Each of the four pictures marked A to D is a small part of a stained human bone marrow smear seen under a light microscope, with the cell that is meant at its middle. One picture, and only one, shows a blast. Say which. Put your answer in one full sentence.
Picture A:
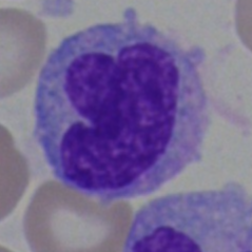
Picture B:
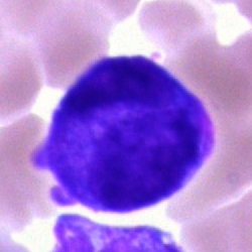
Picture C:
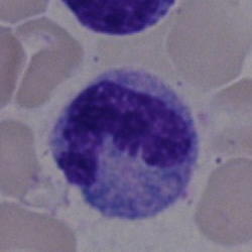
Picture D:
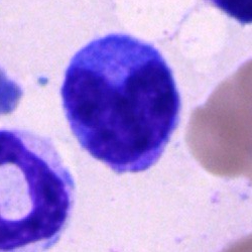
Picture B shows the blast.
